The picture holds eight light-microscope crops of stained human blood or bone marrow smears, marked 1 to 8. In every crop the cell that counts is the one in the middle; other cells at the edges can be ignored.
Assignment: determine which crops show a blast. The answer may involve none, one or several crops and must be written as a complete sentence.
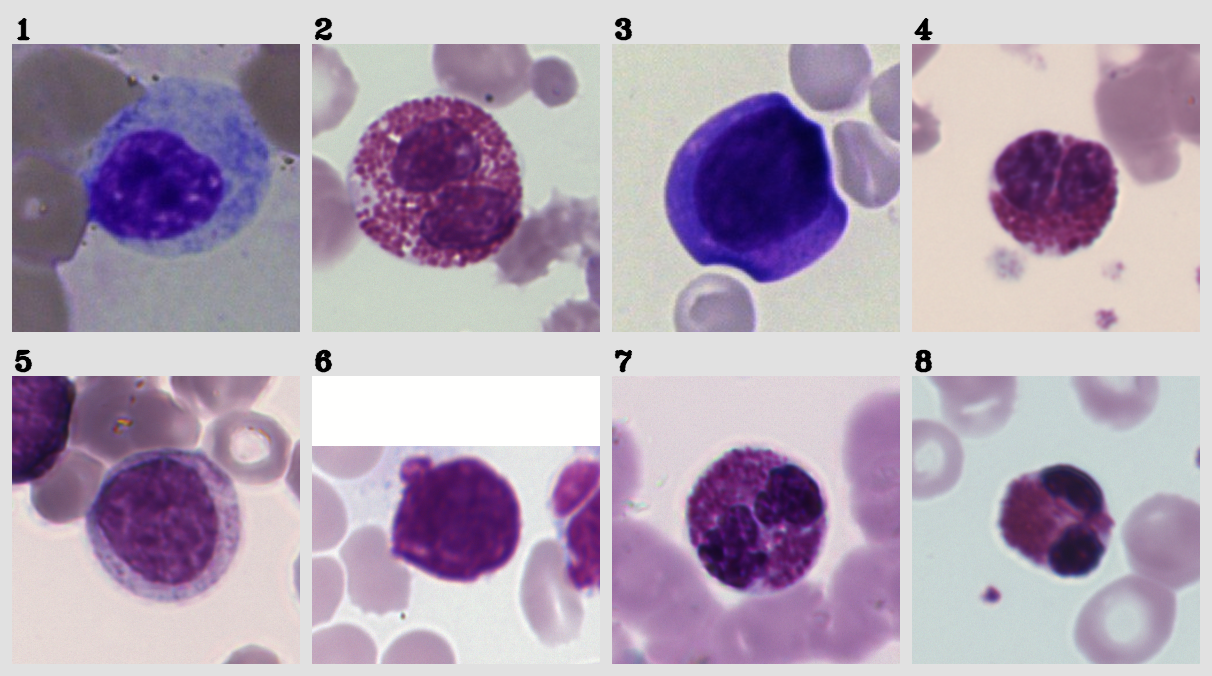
The cells being asked about in crops 3 and 6 are blasts.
